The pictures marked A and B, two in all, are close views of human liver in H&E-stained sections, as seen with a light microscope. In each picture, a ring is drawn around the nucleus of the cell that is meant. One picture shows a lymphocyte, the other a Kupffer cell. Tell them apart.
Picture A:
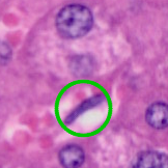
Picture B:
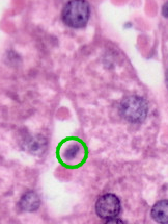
A: Kupffer cell
B: lymphocyte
